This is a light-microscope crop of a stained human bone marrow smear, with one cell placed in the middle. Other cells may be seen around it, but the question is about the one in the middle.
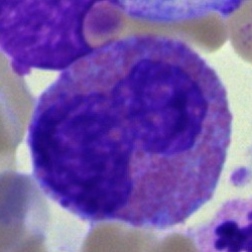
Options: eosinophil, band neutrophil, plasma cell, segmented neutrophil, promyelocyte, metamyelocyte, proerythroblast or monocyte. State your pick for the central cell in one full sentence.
The cell the crop is centered on is an eosinophil.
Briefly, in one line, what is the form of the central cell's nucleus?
We find a nucleus divided into at least two lobes.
